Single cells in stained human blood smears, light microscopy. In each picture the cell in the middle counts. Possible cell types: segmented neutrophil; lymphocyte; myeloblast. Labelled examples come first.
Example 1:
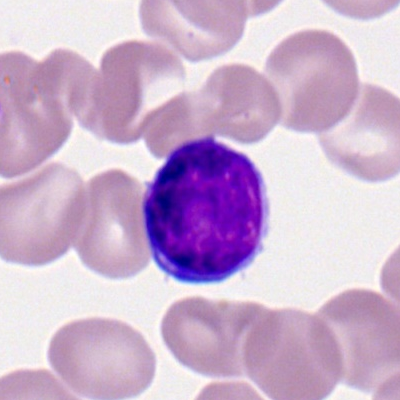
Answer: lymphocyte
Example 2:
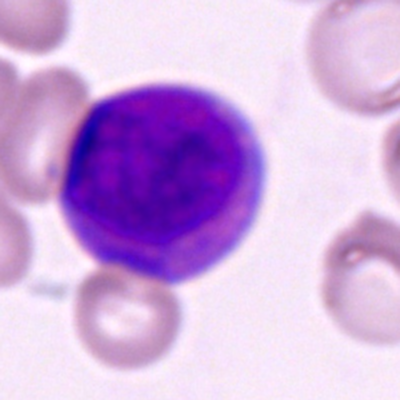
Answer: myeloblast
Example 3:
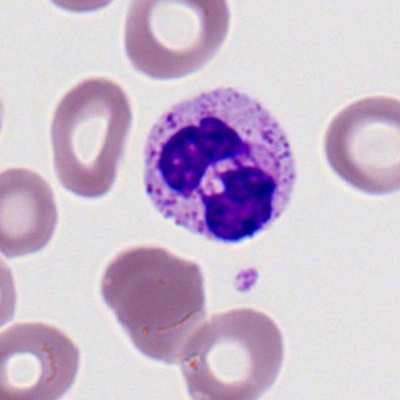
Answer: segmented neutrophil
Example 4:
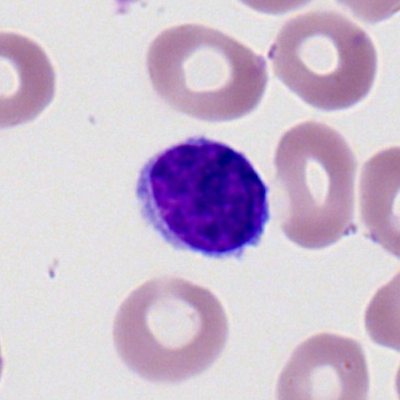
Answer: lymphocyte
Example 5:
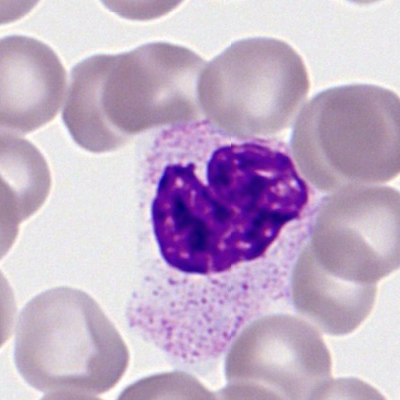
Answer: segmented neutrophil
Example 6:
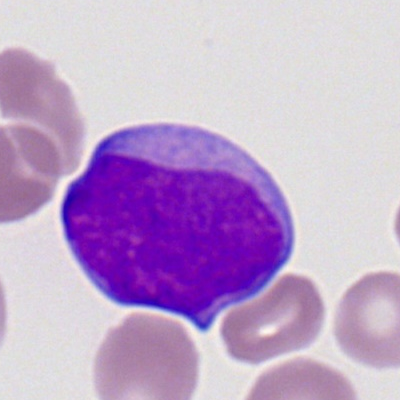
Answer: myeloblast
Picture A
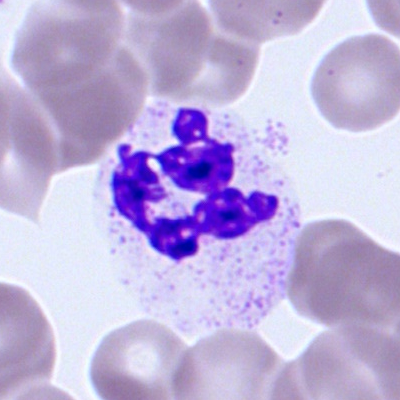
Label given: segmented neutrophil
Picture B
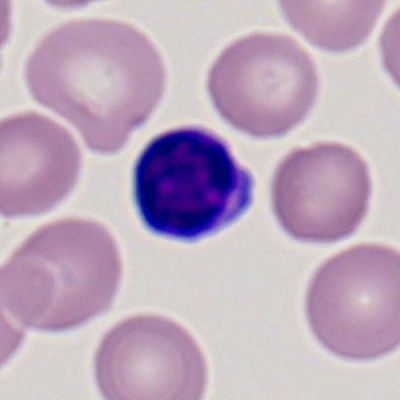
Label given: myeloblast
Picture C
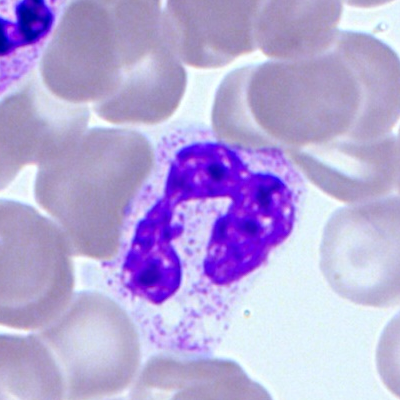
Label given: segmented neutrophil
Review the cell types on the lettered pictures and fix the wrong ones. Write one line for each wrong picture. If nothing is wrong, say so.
B: not myeloblast but lymphocyte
